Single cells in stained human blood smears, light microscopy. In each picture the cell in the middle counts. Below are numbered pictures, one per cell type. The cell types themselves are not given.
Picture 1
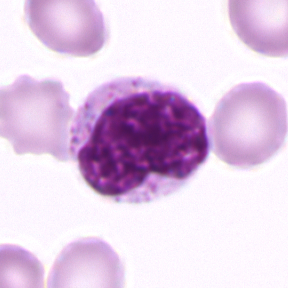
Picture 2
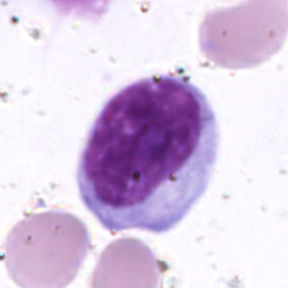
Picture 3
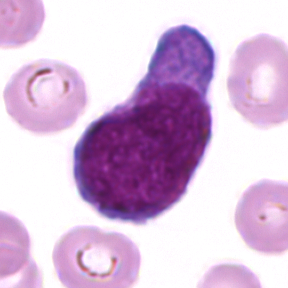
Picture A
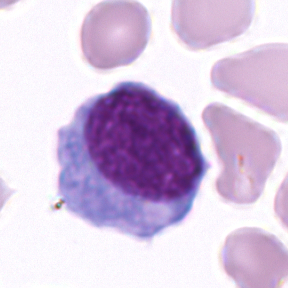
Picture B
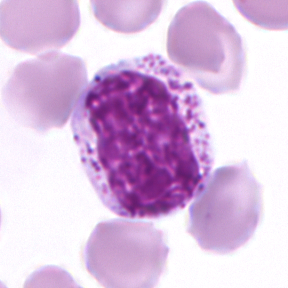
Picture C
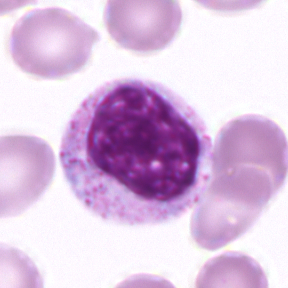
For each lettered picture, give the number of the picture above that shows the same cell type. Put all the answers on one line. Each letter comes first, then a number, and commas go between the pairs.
A 2, B 1, C 1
